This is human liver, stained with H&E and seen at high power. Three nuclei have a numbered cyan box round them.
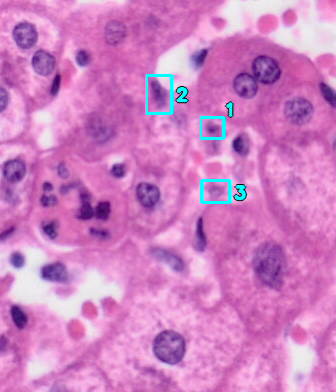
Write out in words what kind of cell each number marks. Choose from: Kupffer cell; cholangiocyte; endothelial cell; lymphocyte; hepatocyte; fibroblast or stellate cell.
Cell 1 is a Kupffer cell, cell 2 is a fibroblast or stellate cell and cell 3 is a Kupffer cell.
